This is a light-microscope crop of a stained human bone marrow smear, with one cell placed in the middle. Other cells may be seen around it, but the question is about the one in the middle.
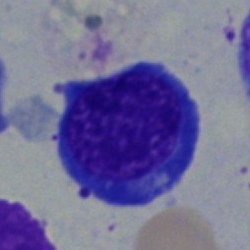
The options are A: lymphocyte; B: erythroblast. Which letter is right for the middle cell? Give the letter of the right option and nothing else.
B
